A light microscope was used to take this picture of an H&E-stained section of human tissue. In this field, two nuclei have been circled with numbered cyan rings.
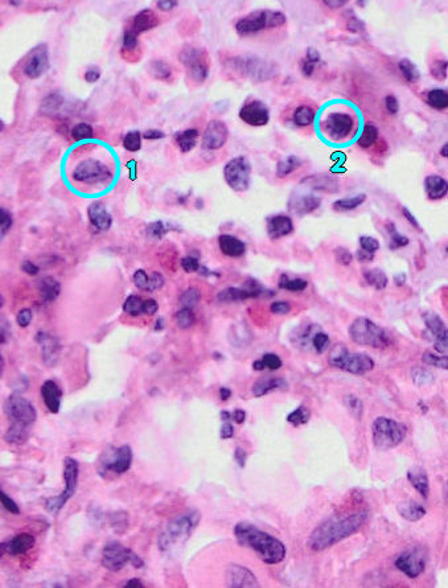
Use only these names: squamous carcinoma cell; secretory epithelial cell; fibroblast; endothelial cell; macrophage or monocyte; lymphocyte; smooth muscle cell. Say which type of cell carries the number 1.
macrophage or monocyte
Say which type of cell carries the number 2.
lymphocyte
